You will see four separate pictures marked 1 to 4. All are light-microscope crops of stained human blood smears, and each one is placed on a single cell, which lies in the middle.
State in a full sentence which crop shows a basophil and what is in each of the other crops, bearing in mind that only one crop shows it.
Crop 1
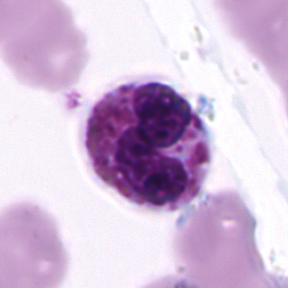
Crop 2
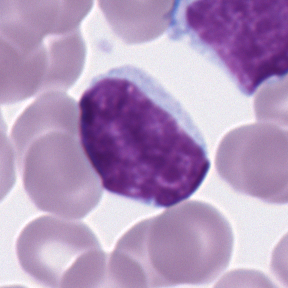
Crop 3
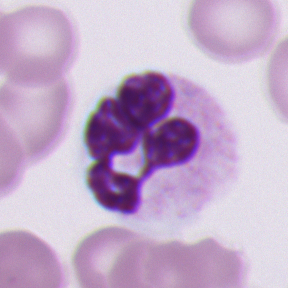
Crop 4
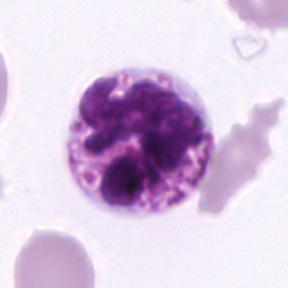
In the set, crop 4 shows a basophil, whereas crop 1 is an eosinophil, crop 2 is a lymphocyte and crop 3 is a neutrophil.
